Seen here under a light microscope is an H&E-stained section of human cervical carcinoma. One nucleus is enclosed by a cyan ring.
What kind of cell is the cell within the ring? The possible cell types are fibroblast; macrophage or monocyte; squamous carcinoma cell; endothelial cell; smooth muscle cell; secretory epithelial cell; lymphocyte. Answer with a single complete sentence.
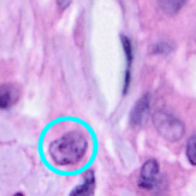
Assigned to a cell type, the cell within the ring is a macrophage or monocyte.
